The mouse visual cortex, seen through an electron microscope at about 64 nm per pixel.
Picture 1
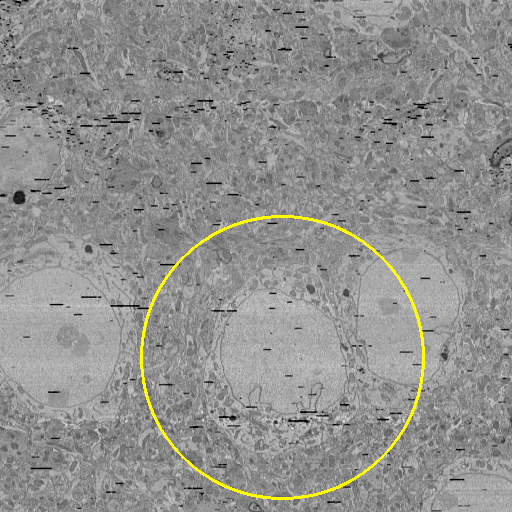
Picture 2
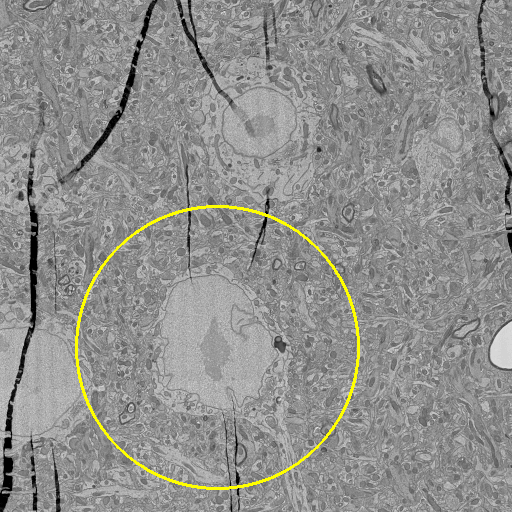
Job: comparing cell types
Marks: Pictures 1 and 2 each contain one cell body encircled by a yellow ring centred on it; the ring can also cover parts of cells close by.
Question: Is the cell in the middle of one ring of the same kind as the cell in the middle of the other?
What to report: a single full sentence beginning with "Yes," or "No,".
Yes, the cell at the ring centre in Picture 1 and its partner in Picture 2 are of one kind.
